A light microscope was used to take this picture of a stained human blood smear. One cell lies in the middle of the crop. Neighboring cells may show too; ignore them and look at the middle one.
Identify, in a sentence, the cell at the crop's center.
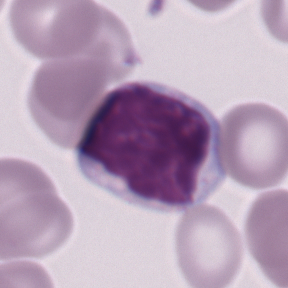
The centrally located cell in the crop is a large granular lymphocyte.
